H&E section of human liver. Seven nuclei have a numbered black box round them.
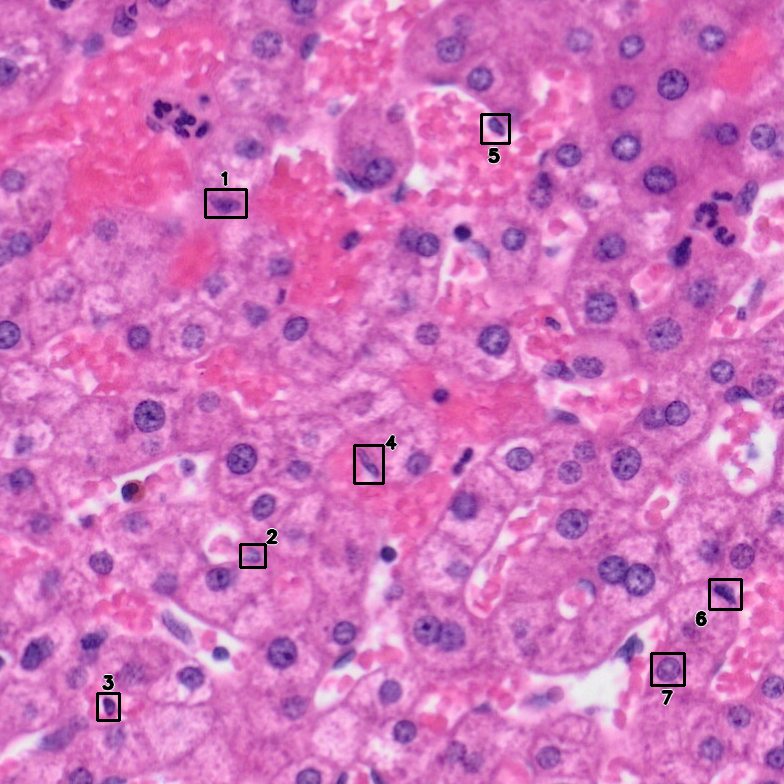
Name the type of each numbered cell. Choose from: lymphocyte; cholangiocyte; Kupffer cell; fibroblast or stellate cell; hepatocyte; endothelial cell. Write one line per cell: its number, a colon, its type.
1: fibroblast or stellate cell
2: fibroblast or stellate cell
3: lymphocyte
4: endothelial cell
5: lymphocyte
6: fibroblast or stellate cell
7: hepatocyte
